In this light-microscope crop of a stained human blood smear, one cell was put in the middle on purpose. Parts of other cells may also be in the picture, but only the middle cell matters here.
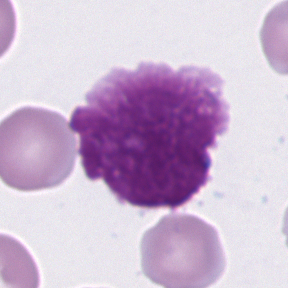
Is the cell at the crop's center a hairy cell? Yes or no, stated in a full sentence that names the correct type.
No, the centrally placed cell is a smudge cell, not a hairy cell.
